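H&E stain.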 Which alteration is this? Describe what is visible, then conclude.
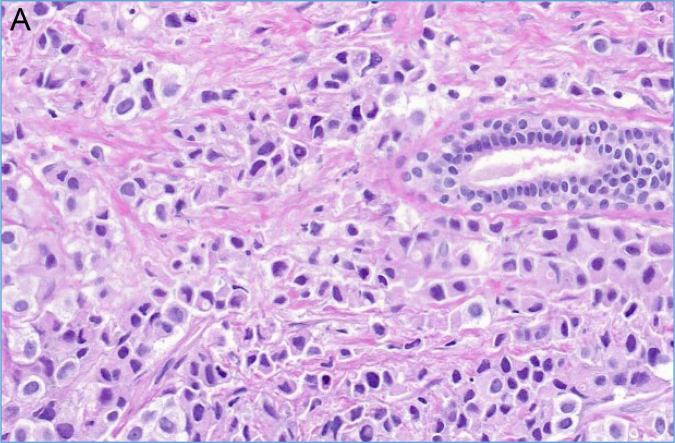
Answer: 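Tumor cells lie apart from one another rather than in cohesive sheets or glands. Pink stromal fibres run between single cells.
Conclusion: Dyscohesive spread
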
